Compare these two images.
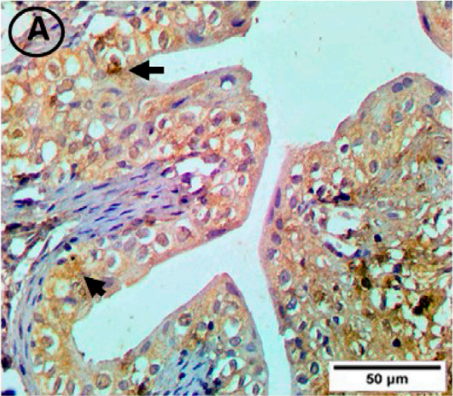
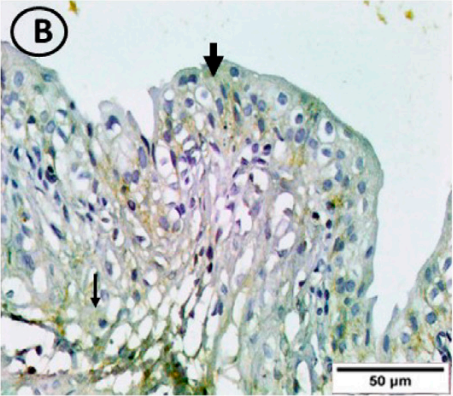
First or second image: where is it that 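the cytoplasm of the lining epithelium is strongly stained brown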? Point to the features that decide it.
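Second image: the epithelium is mostly pale, blue-grey and unstained, with only scattered faint brown spots. First image: the epithelial cells have diffusely brown cytoplasm throughout the layers. The answer: the first image.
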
